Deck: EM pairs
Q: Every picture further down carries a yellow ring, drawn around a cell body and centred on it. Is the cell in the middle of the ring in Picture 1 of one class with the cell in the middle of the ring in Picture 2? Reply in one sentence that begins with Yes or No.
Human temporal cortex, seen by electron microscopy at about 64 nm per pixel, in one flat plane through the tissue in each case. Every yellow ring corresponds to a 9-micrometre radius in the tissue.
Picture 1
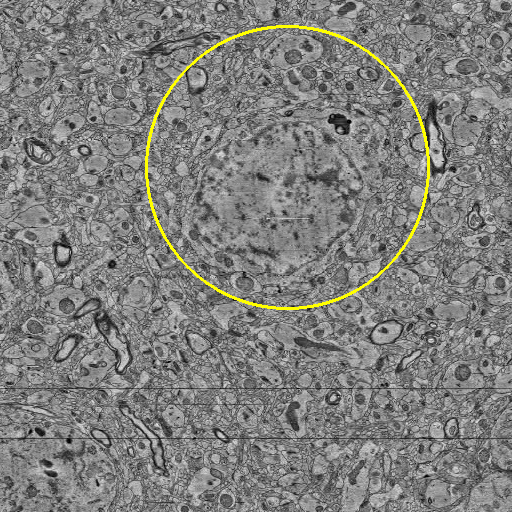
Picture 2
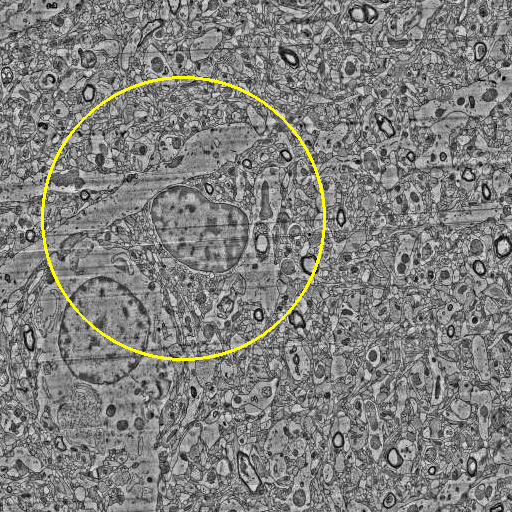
No, the cell centred in the ring of Picture 1 and the one in Picture 2 belong to separate classes.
